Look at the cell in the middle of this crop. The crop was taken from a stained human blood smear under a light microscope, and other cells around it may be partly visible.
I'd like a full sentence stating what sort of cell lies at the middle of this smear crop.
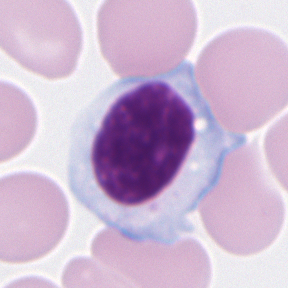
The central cell shown in this smear crop is a typical lymphocyte.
